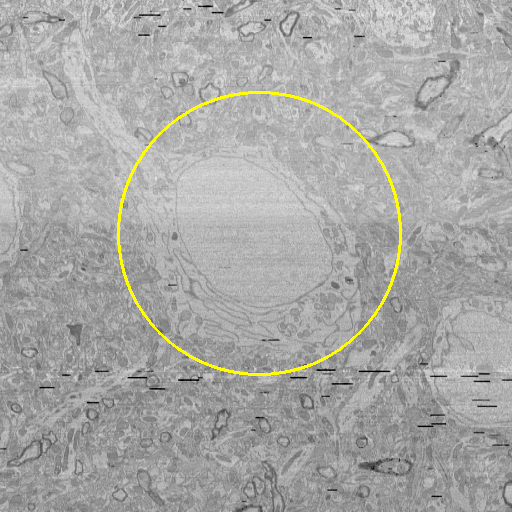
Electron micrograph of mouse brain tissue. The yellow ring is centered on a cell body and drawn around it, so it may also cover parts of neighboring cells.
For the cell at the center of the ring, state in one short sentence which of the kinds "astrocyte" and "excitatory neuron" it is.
This ring is centered on an excitatory neuron.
